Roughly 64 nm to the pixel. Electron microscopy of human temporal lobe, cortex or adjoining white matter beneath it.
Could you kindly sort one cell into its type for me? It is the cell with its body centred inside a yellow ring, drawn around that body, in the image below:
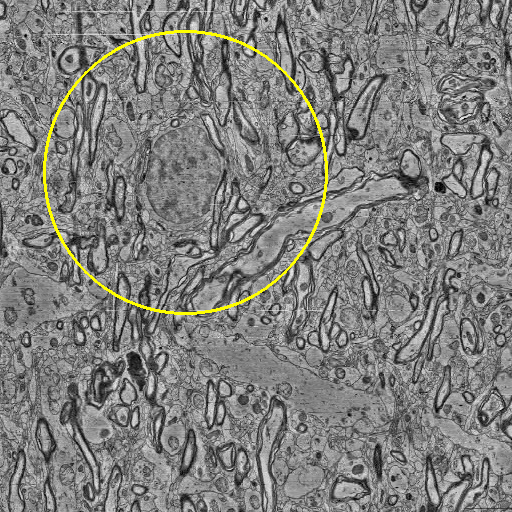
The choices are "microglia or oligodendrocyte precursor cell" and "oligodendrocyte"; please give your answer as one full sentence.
The cell whose body lies centred in the yellow ring here is an oligodendrocyte.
